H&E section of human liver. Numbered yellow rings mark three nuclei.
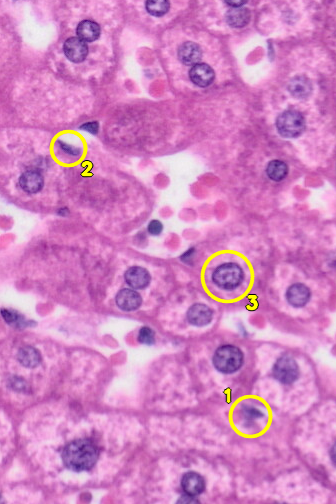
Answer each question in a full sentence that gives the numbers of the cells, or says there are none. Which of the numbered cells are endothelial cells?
The cells referred to by the numbers 1 and 2 are endothelial cells.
